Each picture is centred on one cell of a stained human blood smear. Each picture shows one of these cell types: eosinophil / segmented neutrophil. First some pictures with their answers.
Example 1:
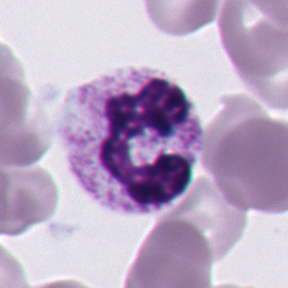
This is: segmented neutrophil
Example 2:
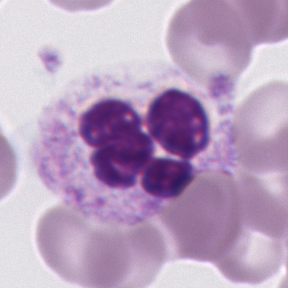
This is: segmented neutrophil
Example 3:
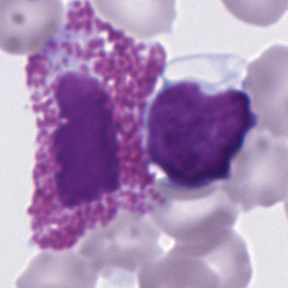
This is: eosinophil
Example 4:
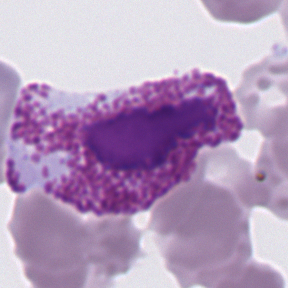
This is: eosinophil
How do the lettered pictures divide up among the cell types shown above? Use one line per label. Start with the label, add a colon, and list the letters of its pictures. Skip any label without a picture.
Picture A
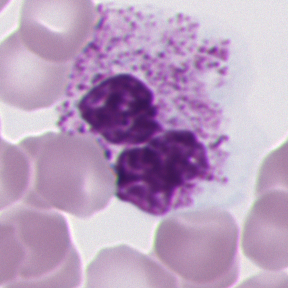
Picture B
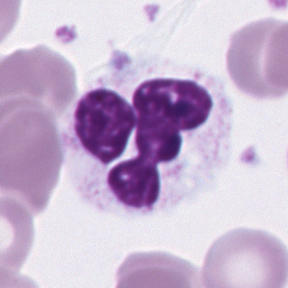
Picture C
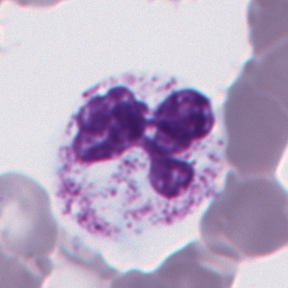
segmented neutrophil: A, B, C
